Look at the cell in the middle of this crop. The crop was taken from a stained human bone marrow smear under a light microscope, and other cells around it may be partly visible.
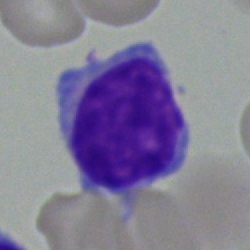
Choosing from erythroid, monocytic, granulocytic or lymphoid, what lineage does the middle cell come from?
lymphoid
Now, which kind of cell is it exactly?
lymphocyte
